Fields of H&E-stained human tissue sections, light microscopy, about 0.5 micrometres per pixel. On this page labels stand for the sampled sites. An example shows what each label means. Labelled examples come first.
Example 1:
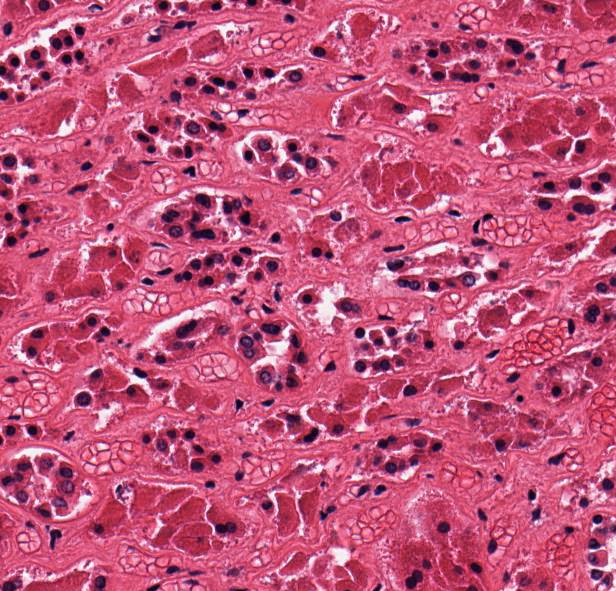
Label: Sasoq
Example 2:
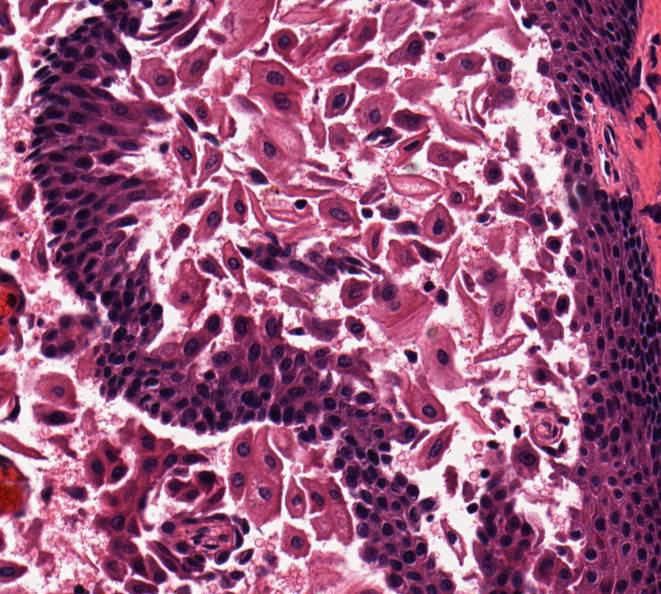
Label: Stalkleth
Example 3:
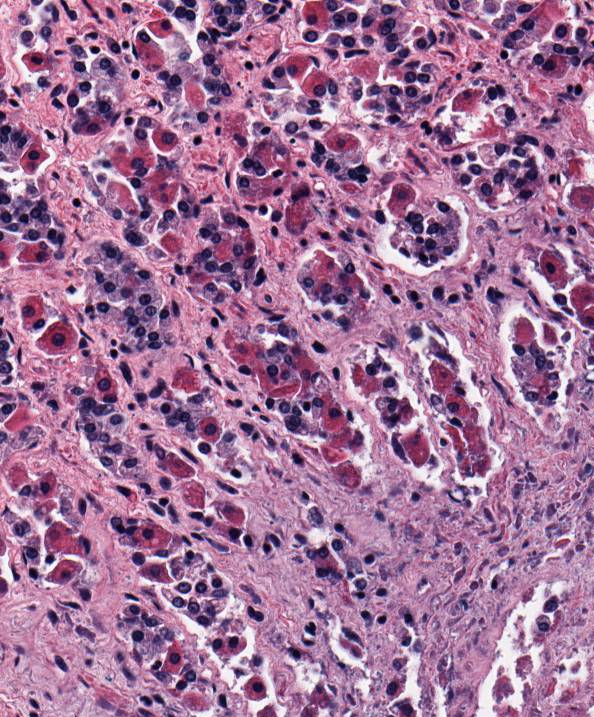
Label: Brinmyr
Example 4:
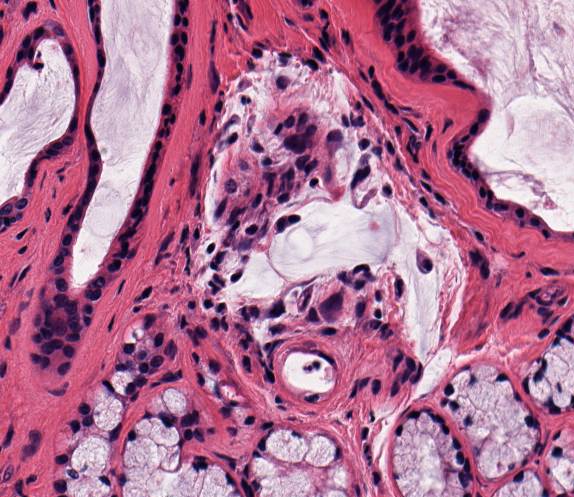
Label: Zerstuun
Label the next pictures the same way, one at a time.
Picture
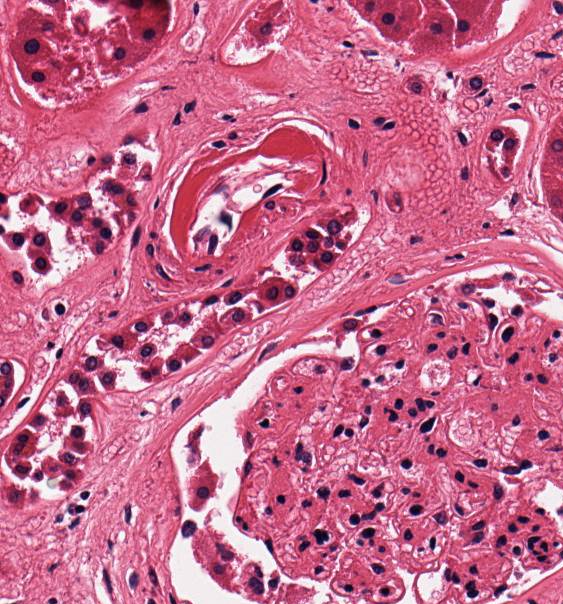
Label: Sasoq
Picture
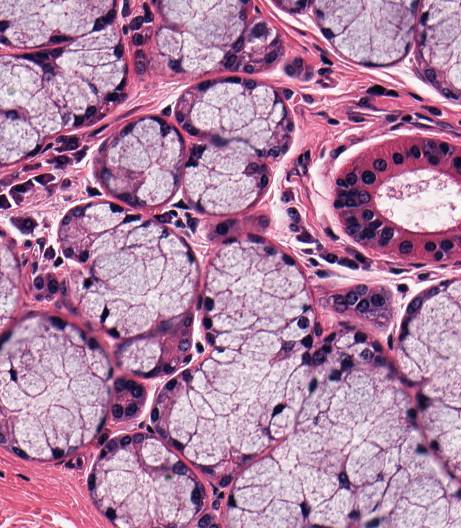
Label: Zerstuun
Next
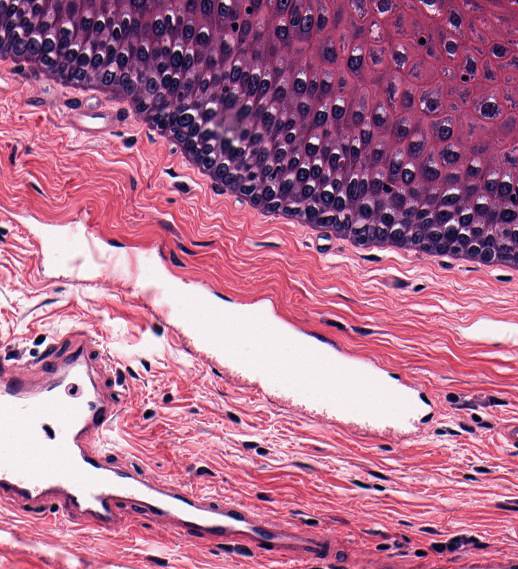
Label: Stalkleth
